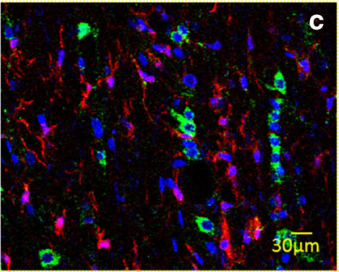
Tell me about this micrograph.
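Blue nuclei are scattered throughout, many elongated and arranged in rows. A few cells are filled with bright green, some lying in short vertical chains, and these are largely separate from the branched red cells.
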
